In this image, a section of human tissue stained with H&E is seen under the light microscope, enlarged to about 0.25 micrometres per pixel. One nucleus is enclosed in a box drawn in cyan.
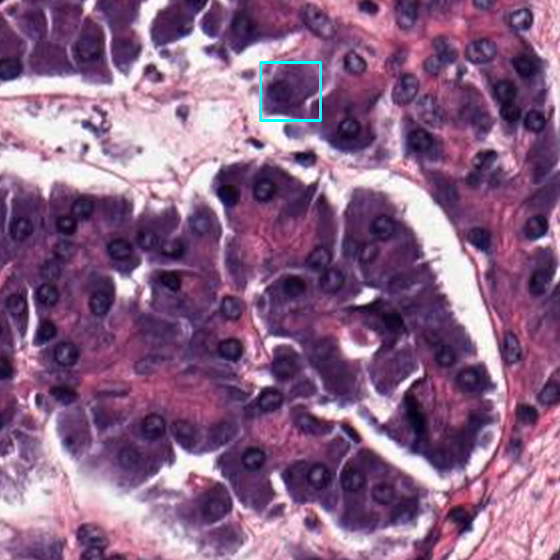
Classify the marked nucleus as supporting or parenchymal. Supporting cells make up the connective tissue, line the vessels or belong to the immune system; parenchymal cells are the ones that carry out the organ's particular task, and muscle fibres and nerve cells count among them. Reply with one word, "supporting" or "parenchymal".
parenchymal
